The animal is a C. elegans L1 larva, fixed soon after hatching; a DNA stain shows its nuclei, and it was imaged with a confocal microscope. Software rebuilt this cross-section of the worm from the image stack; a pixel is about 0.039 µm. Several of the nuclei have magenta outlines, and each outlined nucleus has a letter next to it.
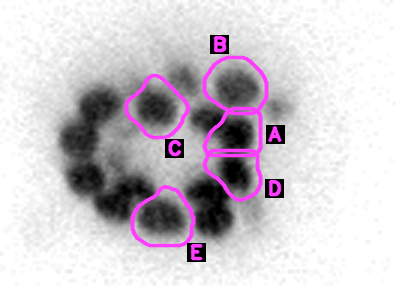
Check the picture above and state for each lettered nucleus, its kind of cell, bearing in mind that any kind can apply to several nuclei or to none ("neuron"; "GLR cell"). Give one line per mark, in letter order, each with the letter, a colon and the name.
A: GLR cell
B: neuron
C: neuron
D: GLR cell
E: neuron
